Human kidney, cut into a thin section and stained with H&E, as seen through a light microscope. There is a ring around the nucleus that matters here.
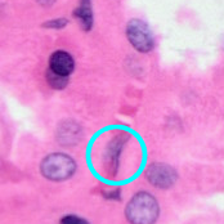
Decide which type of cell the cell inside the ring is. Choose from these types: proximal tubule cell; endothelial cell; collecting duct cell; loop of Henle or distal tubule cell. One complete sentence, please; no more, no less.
The expected answer is simply that the cell inside the ring is an endothelial cell.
